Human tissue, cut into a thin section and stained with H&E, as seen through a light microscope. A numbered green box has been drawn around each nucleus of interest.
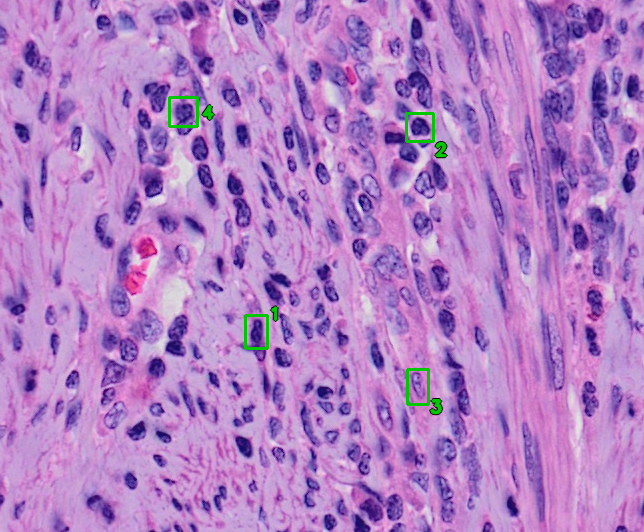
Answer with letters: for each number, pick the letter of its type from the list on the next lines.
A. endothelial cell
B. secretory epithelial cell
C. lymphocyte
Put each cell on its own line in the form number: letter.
1: C
2: C
3: A
4: C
